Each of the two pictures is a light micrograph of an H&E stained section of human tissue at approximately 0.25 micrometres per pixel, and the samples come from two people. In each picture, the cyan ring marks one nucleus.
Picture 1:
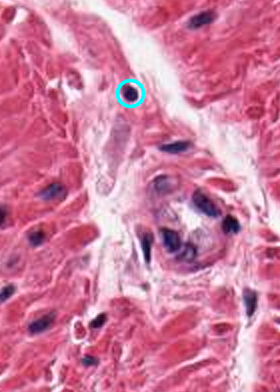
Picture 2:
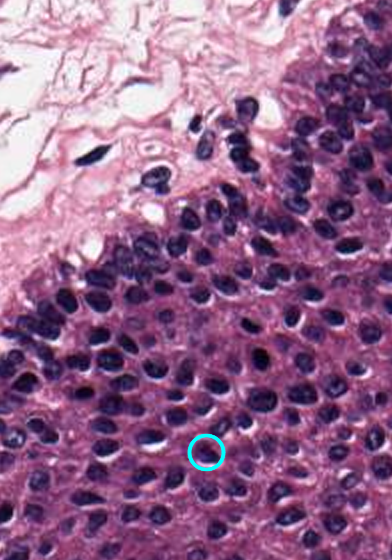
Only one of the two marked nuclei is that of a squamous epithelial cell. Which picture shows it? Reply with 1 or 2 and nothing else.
2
